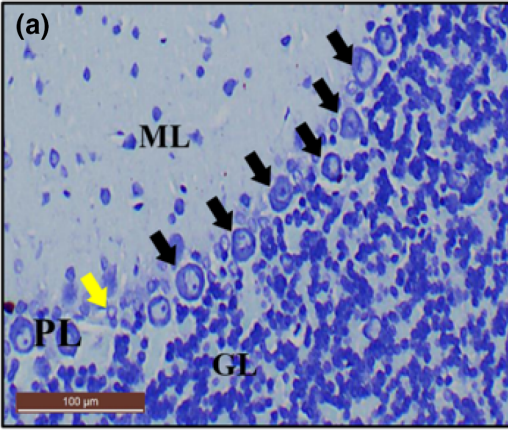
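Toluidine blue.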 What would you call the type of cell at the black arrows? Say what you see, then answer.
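Purkinje cells. Large rounded cell bodies with pale nuclei lie in a single row. The row runs between a pale, sparsely cellular layer and a densely packed layer of small dark nuclei.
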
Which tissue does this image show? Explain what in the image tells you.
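Cerebellum. A pale, sparsely cellular outer layer. A single row of large cell bodies. A dense layer of small, closely packed dark nuclei.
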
